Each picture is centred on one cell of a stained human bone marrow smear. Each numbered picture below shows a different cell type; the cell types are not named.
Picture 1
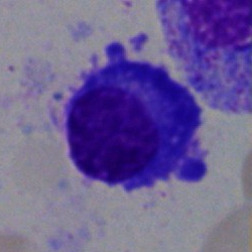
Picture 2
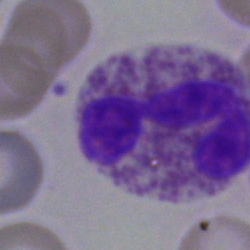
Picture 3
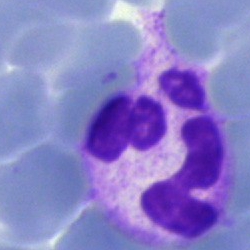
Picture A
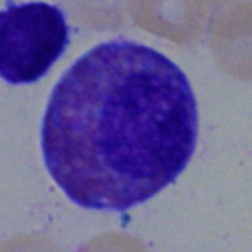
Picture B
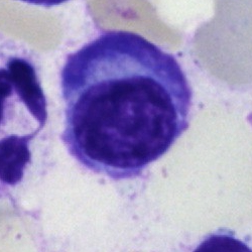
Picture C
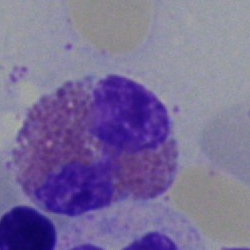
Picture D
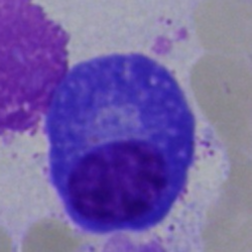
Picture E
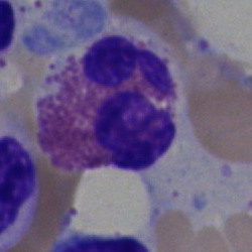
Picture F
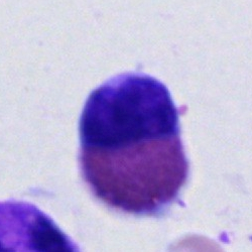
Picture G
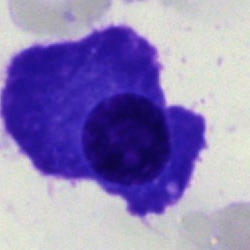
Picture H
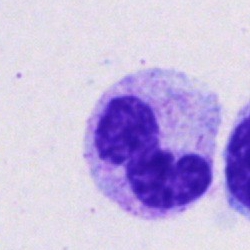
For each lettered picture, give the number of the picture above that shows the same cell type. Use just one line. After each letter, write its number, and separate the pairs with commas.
A 2, B 1, C 2, D 1, E 2, F 2, G 1, H 3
